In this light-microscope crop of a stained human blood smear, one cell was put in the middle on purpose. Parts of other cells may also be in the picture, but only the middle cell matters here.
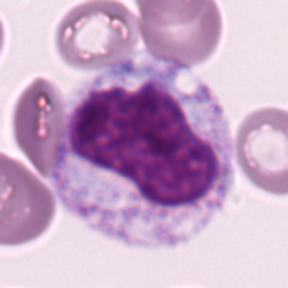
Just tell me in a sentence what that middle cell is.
In the centre of this crop there is a metamyelocyte.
